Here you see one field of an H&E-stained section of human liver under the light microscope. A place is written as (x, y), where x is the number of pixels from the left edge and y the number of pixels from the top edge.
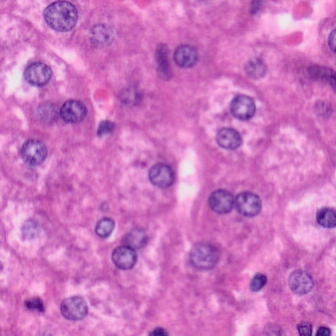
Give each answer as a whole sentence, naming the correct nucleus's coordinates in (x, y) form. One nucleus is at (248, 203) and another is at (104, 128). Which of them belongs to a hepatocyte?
Between the pair, the nucleus at (248, 203) belongs to a hepatocyte.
